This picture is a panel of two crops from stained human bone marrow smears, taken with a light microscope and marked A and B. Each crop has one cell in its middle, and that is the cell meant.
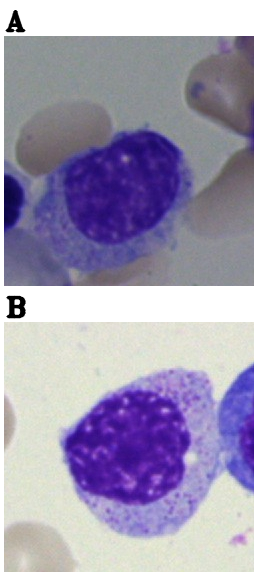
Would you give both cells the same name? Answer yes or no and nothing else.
yes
